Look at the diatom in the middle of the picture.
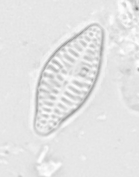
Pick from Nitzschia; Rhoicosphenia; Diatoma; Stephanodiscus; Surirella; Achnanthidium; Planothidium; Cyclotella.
Planothidium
